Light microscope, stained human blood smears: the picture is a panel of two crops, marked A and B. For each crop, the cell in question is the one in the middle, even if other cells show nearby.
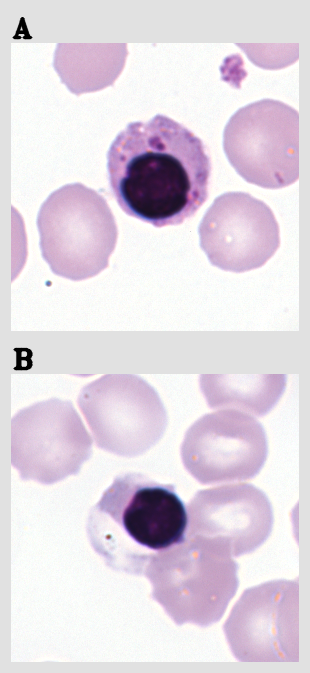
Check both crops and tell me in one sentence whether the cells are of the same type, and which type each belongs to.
Yes, the cells that both crops show at the centre are normoblasts.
